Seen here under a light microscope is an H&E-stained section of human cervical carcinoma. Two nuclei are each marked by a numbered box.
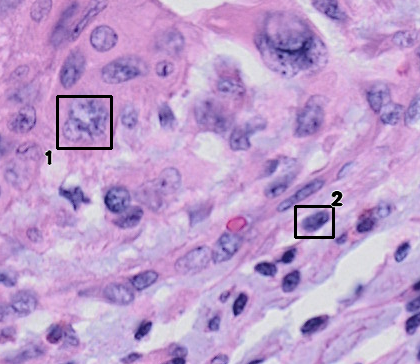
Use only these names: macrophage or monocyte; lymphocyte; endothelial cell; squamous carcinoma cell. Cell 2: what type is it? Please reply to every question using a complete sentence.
In this section, the cell tagged 2 is a lymphocyte.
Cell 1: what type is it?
At number 1, the marked cell is a squamous carcinoma cell.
